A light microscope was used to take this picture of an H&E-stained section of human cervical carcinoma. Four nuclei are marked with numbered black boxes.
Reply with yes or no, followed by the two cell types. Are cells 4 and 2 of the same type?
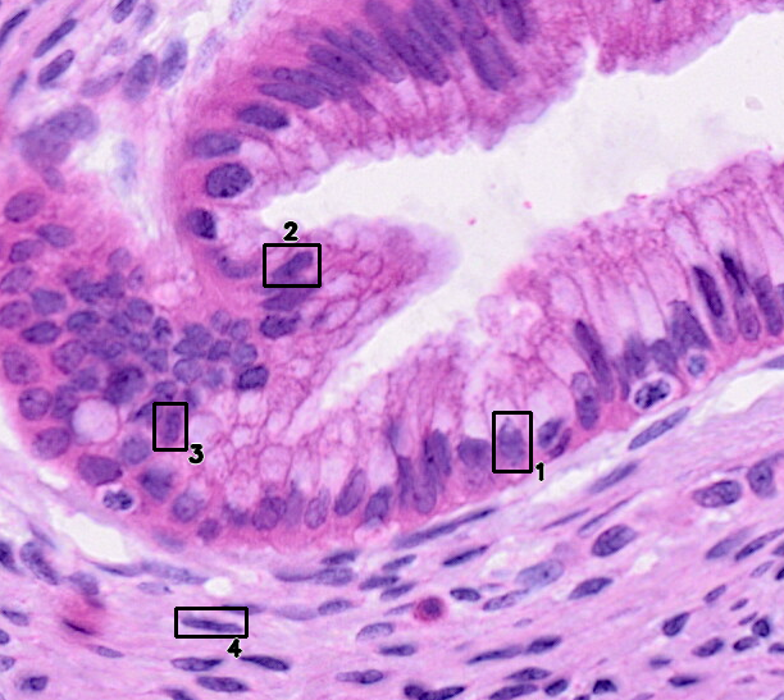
No, cell 4 is a fibroblast and cell 2 is a secretory epithelial cell.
